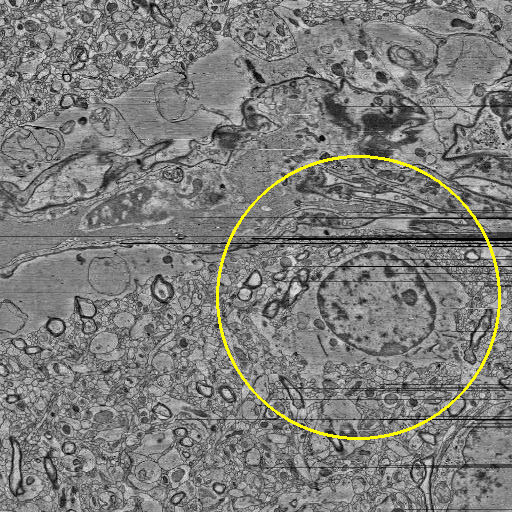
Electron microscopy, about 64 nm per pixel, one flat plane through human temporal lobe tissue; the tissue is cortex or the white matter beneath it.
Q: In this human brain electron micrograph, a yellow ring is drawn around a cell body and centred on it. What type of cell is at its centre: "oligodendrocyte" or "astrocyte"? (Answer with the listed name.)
astrocyte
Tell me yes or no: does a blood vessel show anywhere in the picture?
Yes, one is visible.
